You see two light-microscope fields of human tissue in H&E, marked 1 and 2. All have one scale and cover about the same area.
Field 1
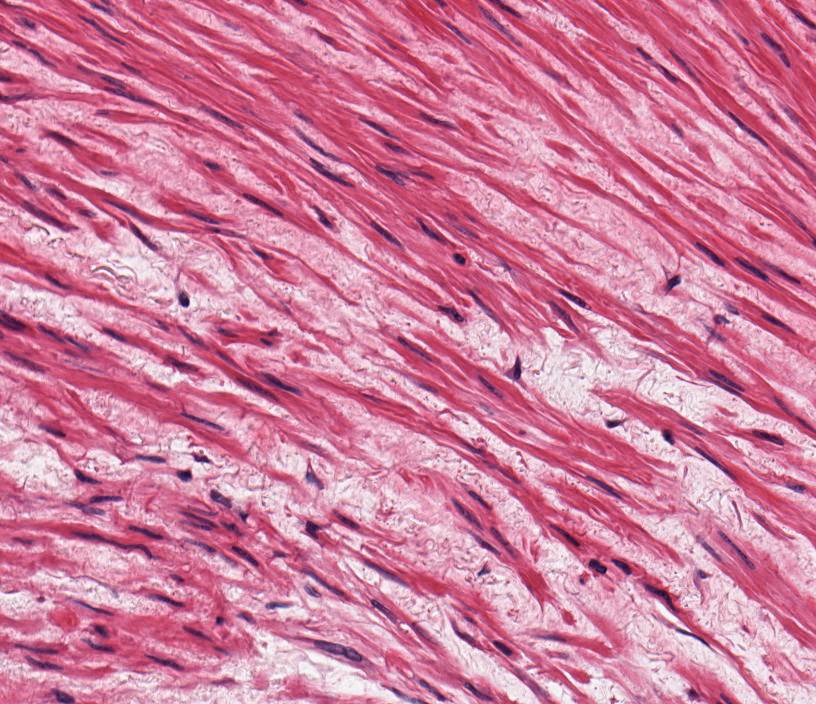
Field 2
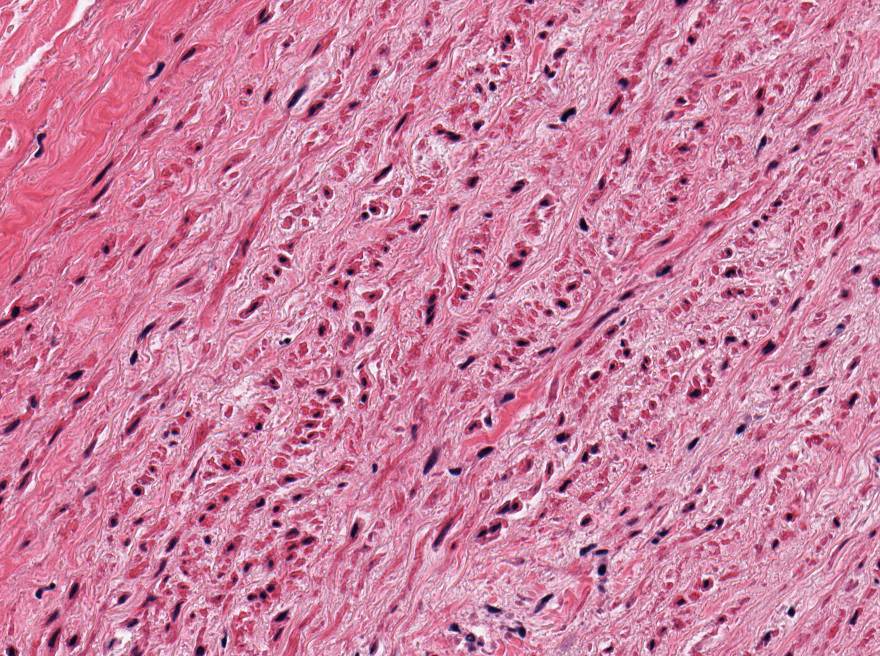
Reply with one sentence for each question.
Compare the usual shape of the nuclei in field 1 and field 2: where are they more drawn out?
On the whole the nuclei of field 1 are more drawn out than those of field 2.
